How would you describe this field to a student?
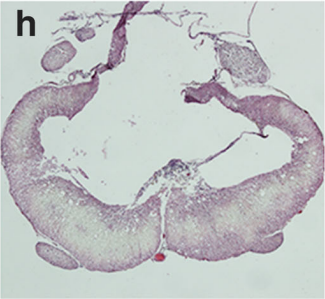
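This cross section of spinal cord is dominated by a large empty cyst that takes up almost the whole center where the gray matter should be. What is left of the cord is a curved rim of pale white matter with a faintly purplish inner margin, open and torn at the dorsal side. At the ventral midline a small strand of denser, darker tissue remains below the cavity. Nerve roots cut in cross section lie beside the cord.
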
